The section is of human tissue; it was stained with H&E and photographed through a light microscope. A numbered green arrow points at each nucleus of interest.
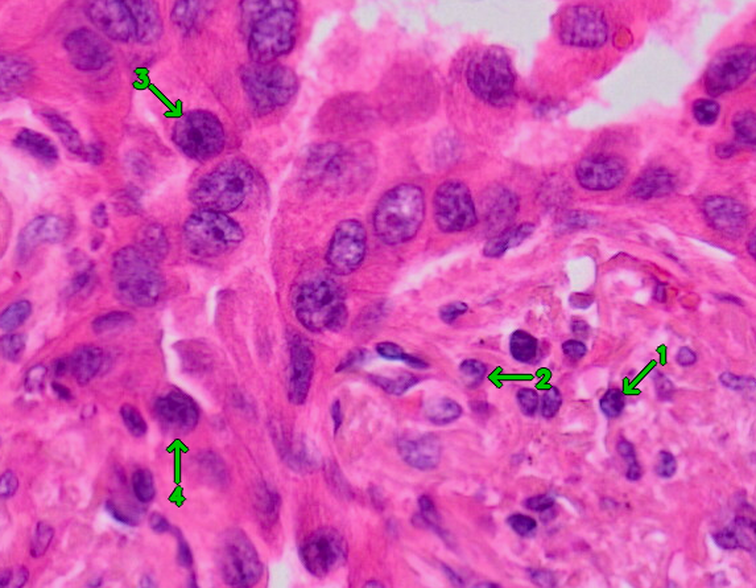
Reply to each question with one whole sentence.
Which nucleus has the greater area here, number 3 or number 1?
The larger nucleus is 3, at roughly 2.5 times the area of 1.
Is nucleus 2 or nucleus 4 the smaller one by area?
Nucleus 2 is the smaller one; nucleus 4 covers about 2.5 times its area.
